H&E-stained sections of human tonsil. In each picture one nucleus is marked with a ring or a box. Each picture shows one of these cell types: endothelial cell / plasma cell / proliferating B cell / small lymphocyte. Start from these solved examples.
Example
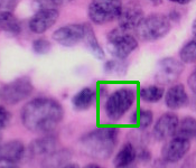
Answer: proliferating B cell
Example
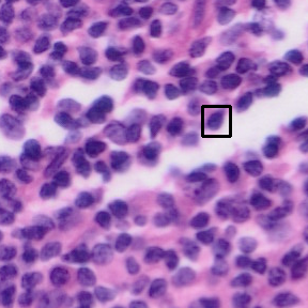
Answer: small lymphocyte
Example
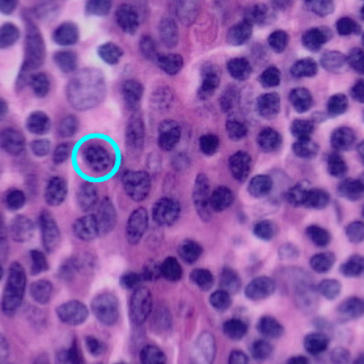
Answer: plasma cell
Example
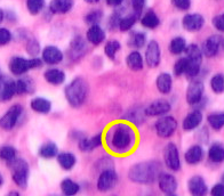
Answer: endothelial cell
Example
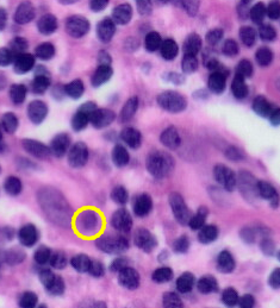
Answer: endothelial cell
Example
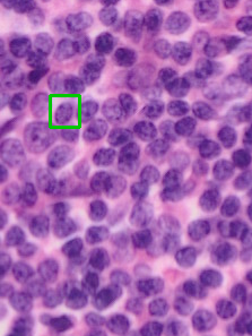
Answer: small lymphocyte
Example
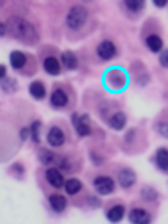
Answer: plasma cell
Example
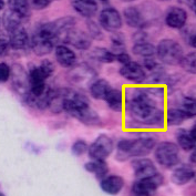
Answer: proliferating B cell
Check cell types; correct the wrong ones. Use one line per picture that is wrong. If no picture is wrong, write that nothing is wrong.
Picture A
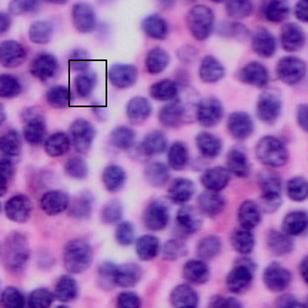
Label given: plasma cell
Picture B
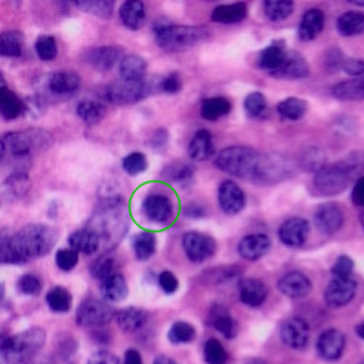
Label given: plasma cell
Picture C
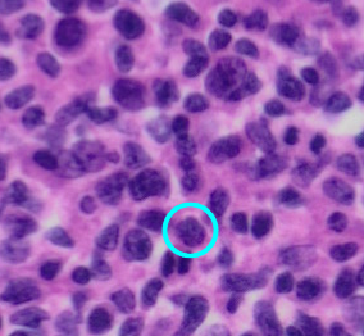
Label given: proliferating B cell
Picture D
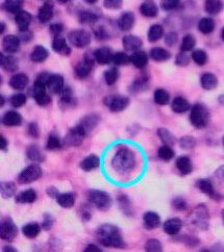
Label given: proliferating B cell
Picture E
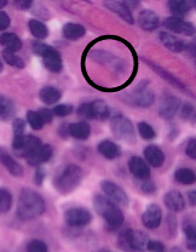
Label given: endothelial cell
A: change plasma cell to small lymphocyte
